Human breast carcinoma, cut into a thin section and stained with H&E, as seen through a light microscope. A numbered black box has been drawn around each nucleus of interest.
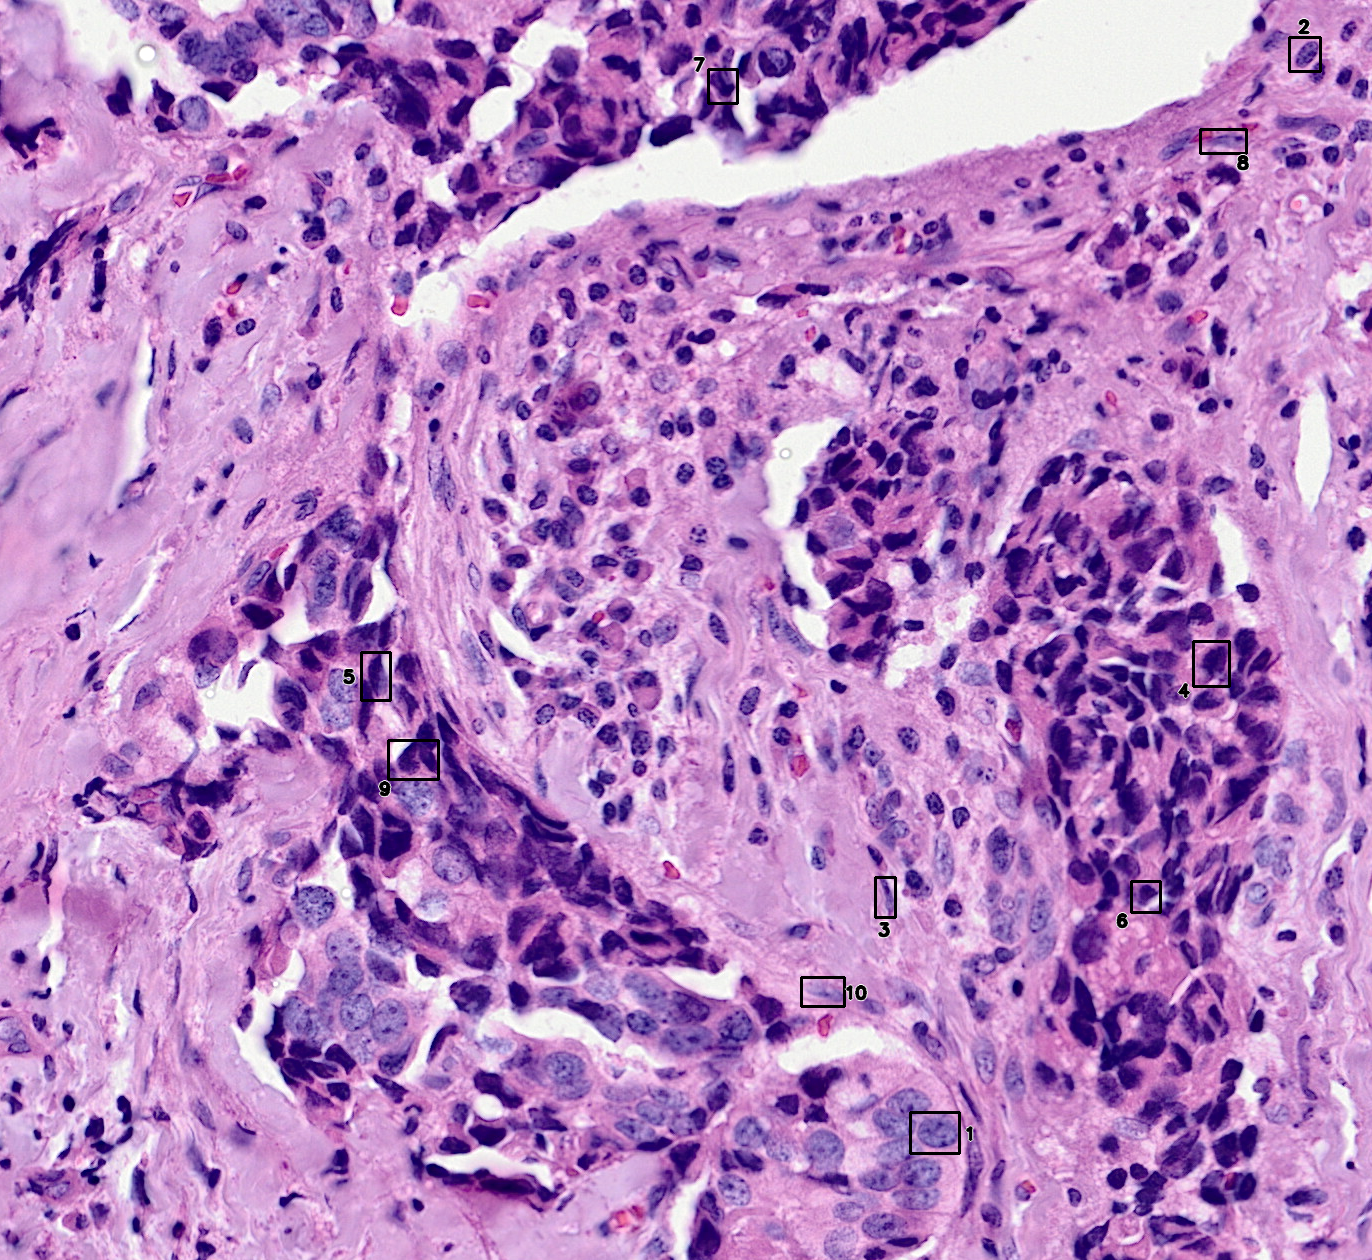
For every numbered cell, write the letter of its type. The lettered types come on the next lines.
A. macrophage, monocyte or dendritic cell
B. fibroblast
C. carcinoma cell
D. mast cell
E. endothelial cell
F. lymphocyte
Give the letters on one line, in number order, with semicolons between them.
C; D; B; C; C; C; C; E; C; E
